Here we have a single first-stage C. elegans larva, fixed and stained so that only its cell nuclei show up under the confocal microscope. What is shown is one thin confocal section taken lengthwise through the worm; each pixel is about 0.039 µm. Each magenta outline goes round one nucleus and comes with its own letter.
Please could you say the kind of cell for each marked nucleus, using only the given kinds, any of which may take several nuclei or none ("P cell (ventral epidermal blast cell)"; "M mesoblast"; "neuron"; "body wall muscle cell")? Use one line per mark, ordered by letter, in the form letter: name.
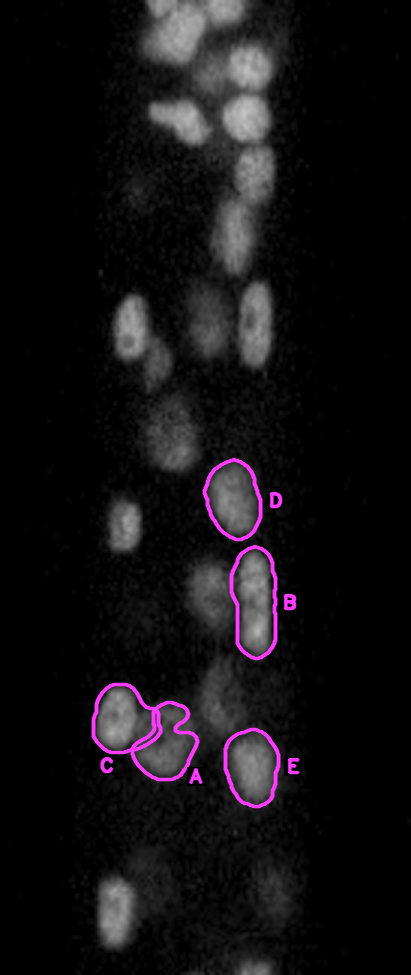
A: M mesoblast
B: body wall muscle cell
C: body wall muscle cell
D: P cell (ventral epidermal blast cell)
E: body wall muscle cell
